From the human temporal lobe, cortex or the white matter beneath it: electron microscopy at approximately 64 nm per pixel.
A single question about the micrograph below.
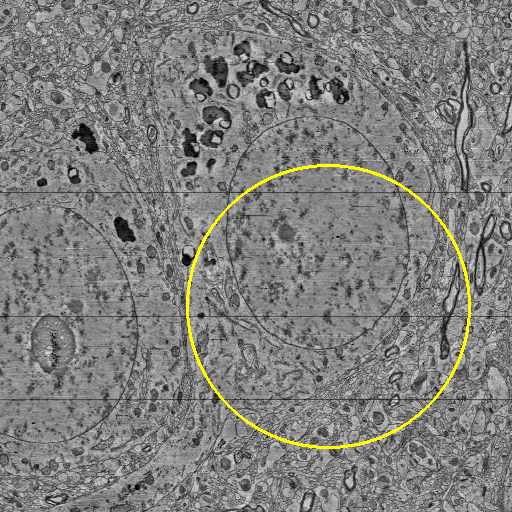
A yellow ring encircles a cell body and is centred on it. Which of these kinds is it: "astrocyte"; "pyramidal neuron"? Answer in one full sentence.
The cell body at the centre of the yellow ring belongs to a pyramidal neuron.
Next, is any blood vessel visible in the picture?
No, no blood vessel shows in the picture.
